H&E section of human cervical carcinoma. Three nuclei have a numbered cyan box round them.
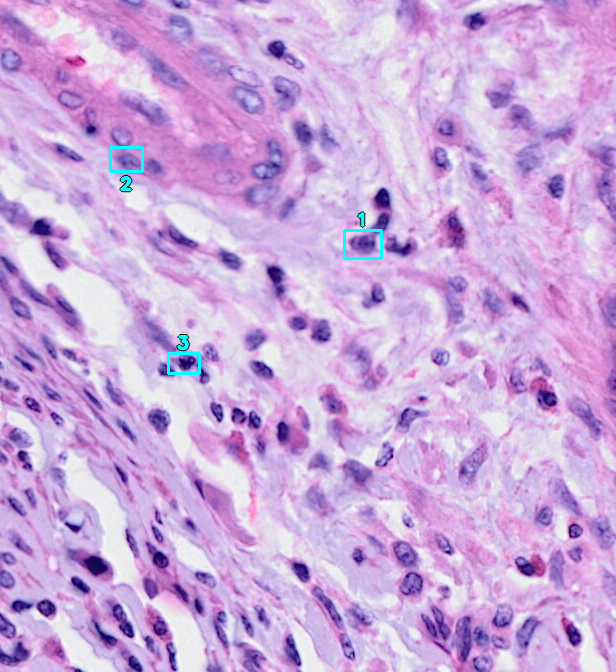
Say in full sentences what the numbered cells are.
Cell 1 is a lymphocyte, cell 2 is a smooth muscle cell and cell 3 is a lymphocyte.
